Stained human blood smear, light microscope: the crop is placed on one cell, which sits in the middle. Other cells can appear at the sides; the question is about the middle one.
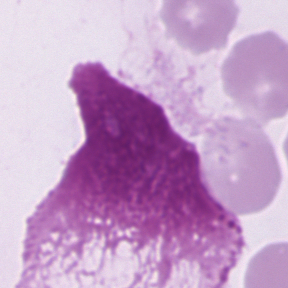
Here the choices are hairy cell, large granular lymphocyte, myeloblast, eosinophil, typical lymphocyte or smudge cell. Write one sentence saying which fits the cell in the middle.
Here the centrally located cell is a smudge cell.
